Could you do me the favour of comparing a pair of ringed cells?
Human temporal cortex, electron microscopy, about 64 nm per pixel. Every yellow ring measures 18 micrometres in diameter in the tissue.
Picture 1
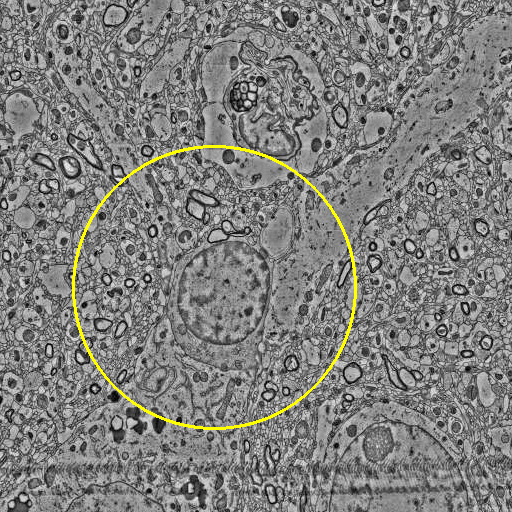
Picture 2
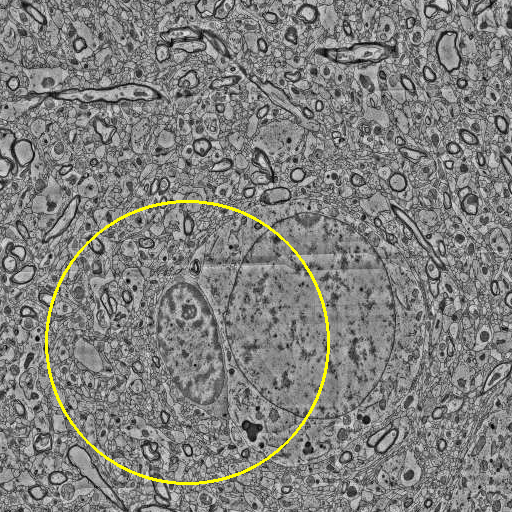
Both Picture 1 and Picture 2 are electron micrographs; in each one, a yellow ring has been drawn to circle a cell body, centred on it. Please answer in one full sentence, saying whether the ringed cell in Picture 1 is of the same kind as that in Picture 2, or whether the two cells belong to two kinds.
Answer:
The ringed cell in Picture 1 is of the same kind as that in Picture 2.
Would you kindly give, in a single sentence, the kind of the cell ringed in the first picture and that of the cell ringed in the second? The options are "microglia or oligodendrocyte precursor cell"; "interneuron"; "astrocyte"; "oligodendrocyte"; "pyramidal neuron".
Each of the two rings is centred on an oligodendrocyte.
